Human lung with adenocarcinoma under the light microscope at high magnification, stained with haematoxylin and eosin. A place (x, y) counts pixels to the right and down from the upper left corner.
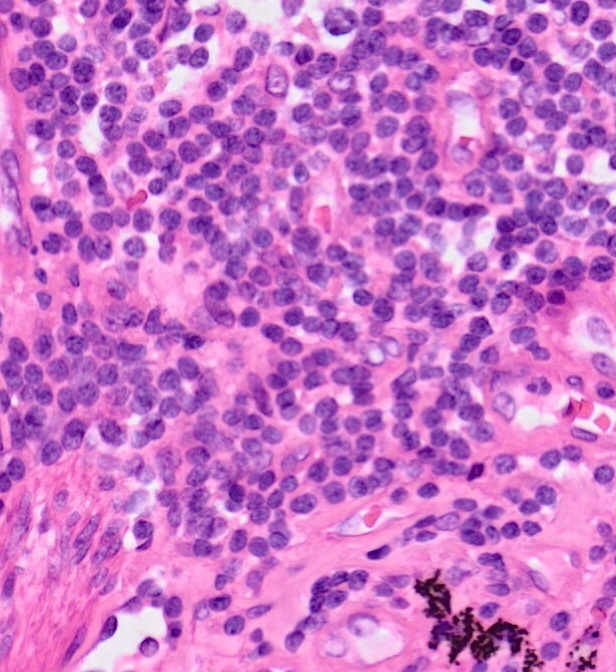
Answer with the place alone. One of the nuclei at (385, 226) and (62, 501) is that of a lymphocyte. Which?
(385, 226)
